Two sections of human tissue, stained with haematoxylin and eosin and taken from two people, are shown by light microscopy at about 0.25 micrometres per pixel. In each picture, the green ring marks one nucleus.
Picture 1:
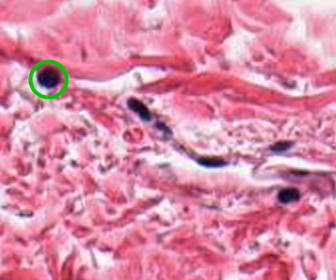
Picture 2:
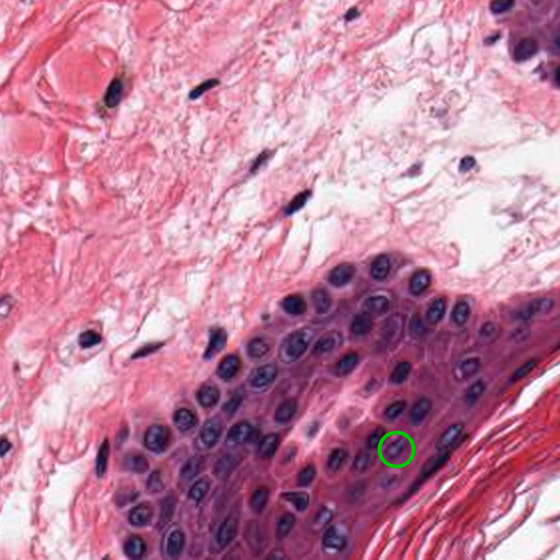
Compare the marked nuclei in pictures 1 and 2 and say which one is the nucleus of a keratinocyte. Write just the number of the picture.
2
